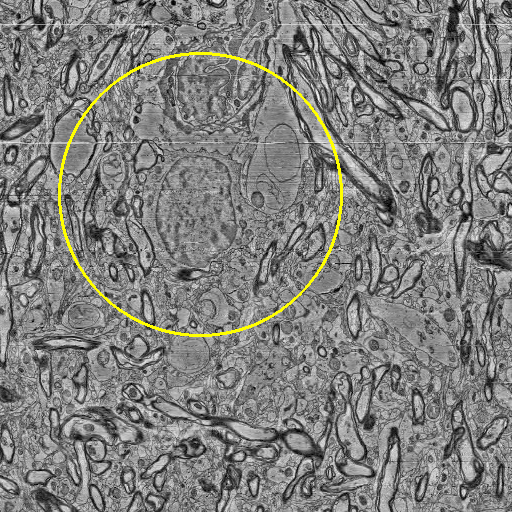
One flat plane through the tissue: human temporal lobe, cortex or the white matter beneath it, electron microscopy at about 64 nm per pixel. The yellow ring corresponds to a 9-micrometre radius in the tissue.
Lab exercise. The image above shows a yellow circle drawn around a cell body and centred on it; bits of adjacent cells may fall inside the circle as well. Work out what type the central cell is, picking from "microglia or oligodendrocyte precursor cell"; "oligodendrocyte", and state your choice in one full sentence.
In the image above, the cell at the centre of the yellow circle is an oligodendrocyte.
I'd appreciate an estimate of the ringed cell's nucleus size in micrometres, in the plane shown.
About 8 by 5 micrometres in this plane; clearly longer than it is wide.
